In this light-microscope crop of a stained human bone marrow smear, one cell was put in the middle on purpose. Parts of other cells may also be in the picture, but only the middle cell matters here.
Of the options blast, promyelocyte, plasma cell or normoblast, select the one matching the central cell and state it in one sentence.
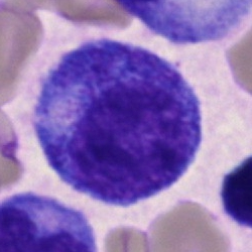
Where the crop is centred, there is a promyelocyte.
